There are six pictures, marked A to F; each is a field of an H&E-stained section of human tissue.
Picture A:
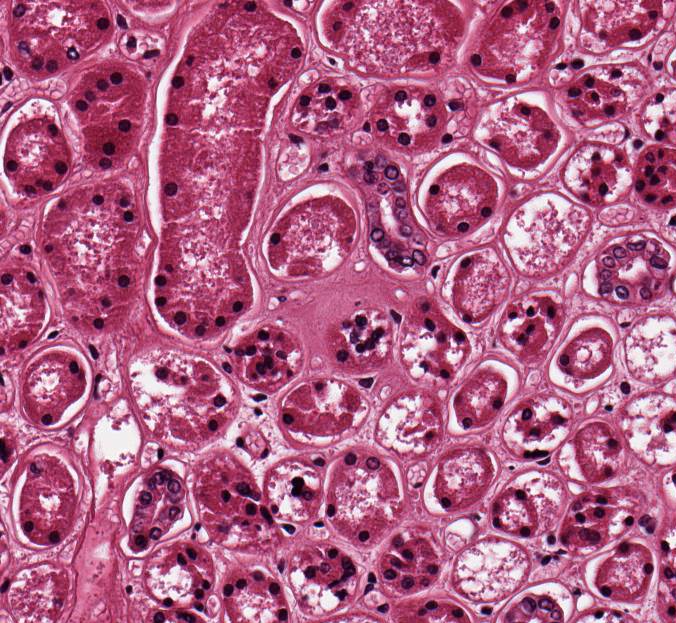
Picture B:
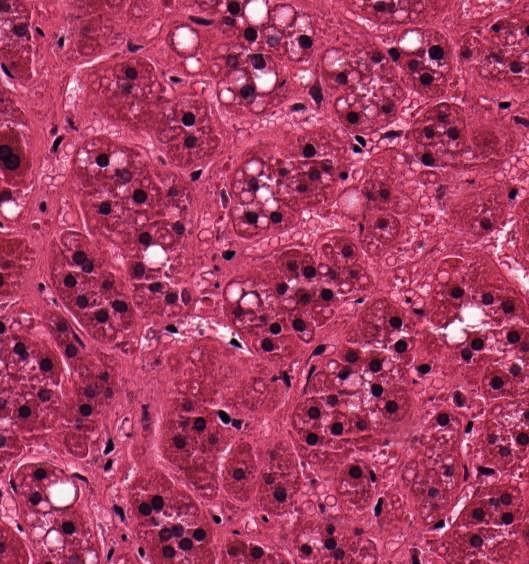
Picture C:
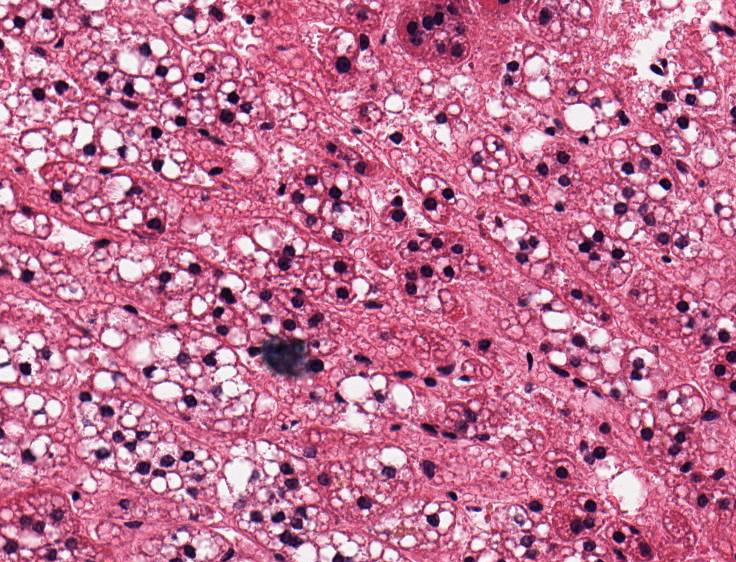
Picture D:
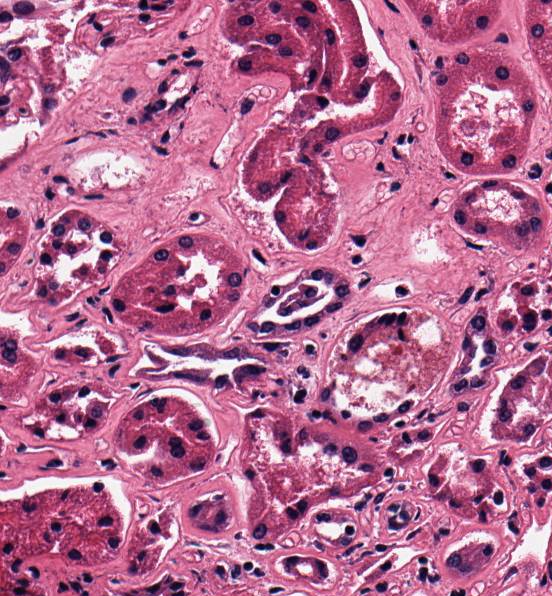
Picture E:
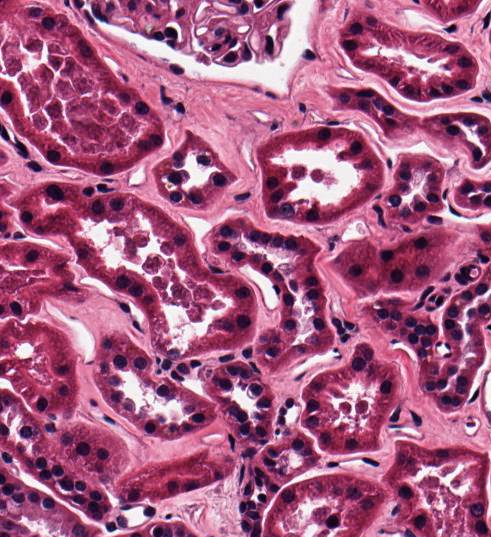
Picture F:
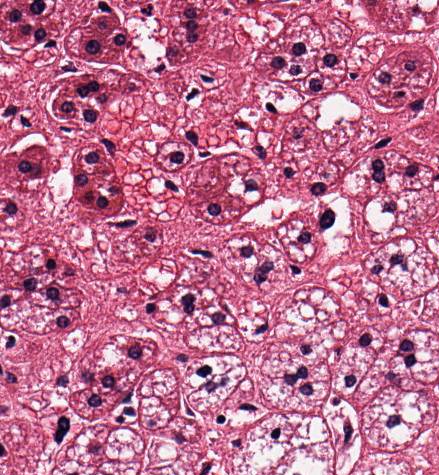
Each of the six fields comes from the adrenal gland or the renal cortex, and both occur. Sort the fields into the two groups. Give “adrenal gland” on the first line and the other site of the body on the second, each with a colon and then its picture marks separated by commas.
adrenal gland: B, C, F
renal cortex: A, D, E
